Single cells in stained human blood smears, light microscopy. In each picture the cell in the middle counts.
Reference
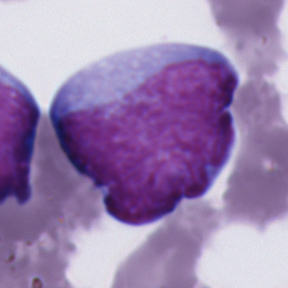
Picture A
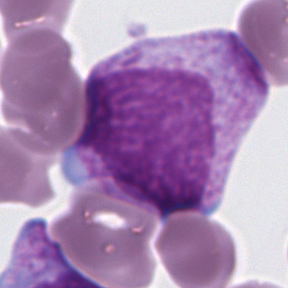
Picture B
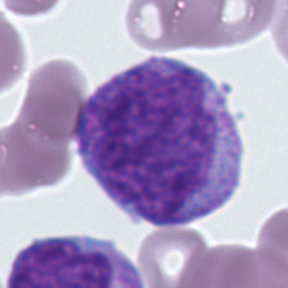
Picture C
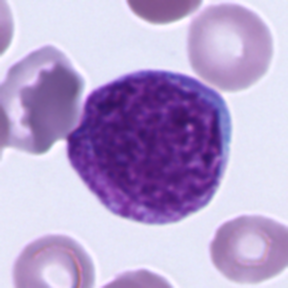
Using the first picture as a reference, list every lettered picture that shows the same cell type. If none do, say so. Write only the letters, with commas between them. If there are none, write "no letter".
no letter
